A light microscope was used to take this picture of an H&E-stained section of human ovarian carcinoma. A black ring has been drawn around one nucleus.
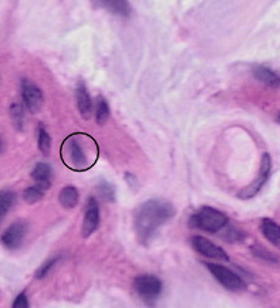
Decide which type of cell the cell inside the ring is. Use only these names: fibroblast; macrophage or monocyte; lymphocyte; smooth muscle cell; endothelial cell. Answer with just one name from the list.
smooth muscle cell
